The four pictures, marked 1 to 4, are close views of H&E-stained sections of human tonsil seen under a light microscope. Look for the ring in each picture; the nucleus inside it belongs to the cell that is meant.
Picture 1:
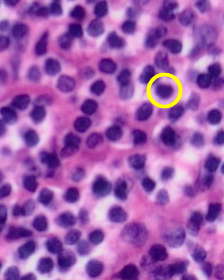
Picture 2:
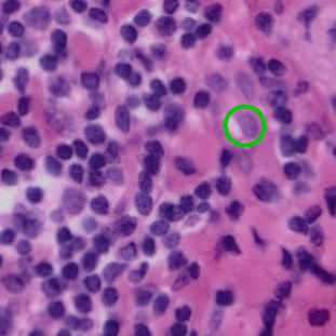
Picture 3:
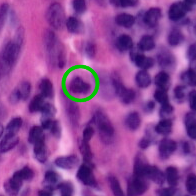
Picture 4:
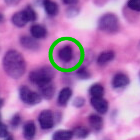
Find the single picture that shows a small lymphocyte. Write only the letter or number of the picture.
1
